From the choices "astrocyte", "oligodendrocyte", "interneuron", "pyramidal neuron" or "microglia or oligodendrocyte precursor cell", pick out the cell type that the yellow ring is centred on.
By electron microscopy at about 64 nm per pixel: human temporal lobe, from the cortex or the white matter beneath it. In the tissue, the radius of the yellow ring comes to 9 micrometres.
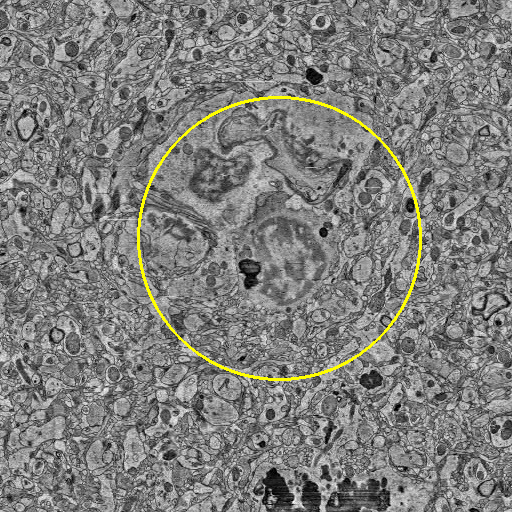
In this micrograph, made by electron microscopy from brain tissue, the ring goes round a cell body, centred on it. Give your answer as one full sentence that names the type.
The yellow ring is centred on an oligodendrocyte, whose cell body it encircles in the picture.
